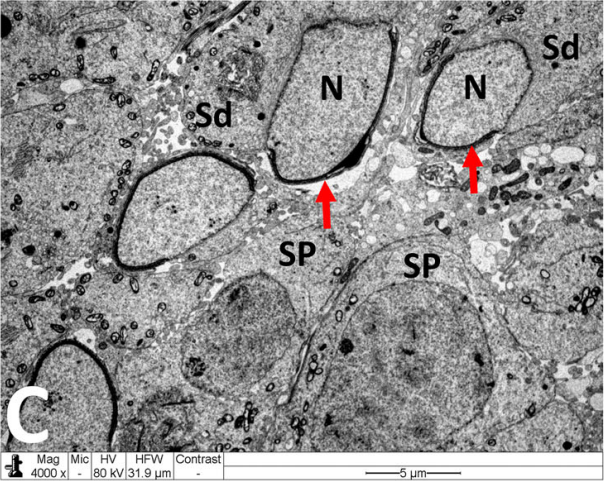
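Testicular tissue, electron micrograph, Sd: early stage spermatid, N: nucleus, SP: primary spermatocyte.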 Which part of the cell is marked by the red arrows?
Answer: Acrosomal cap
